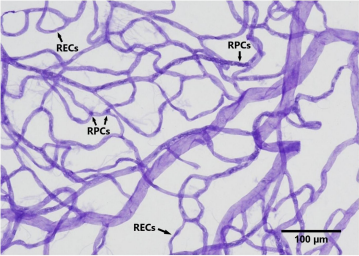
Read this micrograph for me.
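A flat preparation of the retinal capillary network, with the vessel walls stained purple on a pale background. Thin capillaries form an open, loosely meshed network of branching and joining tubes, crossed by a few wider vessels. The spaces between the capillaries are wide and clear.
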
